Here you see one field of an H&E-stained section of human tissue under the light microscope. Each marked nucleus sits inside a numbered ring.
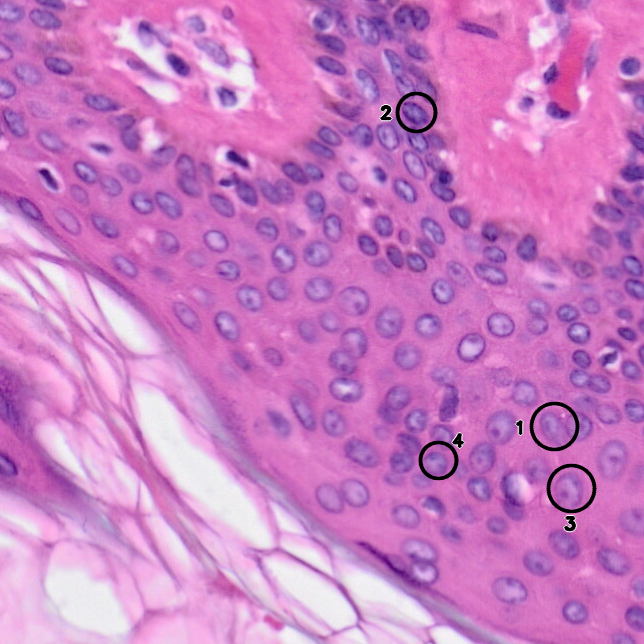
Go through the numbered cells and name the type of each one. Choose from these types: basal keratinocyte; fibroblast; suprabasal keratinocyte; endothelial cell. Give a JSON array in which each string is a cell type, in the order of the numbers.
["suprabasal keratinocyte", "basal keratinocyte", "suprabasal keratinocyte", "suprabasal keratinocyte"]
